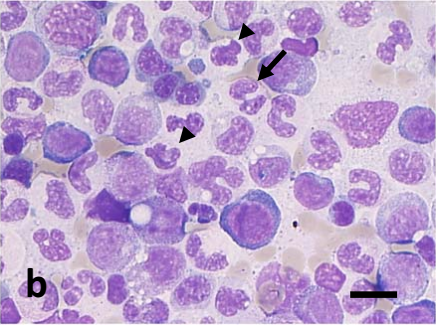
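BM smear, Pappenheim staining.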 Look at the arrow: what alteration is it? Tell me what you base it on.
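Pseudo-Pelger forms. The marked cell is a granulocyte whose nucleus has only few, rounded dense lobes. Its cytoplasm is pale.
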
